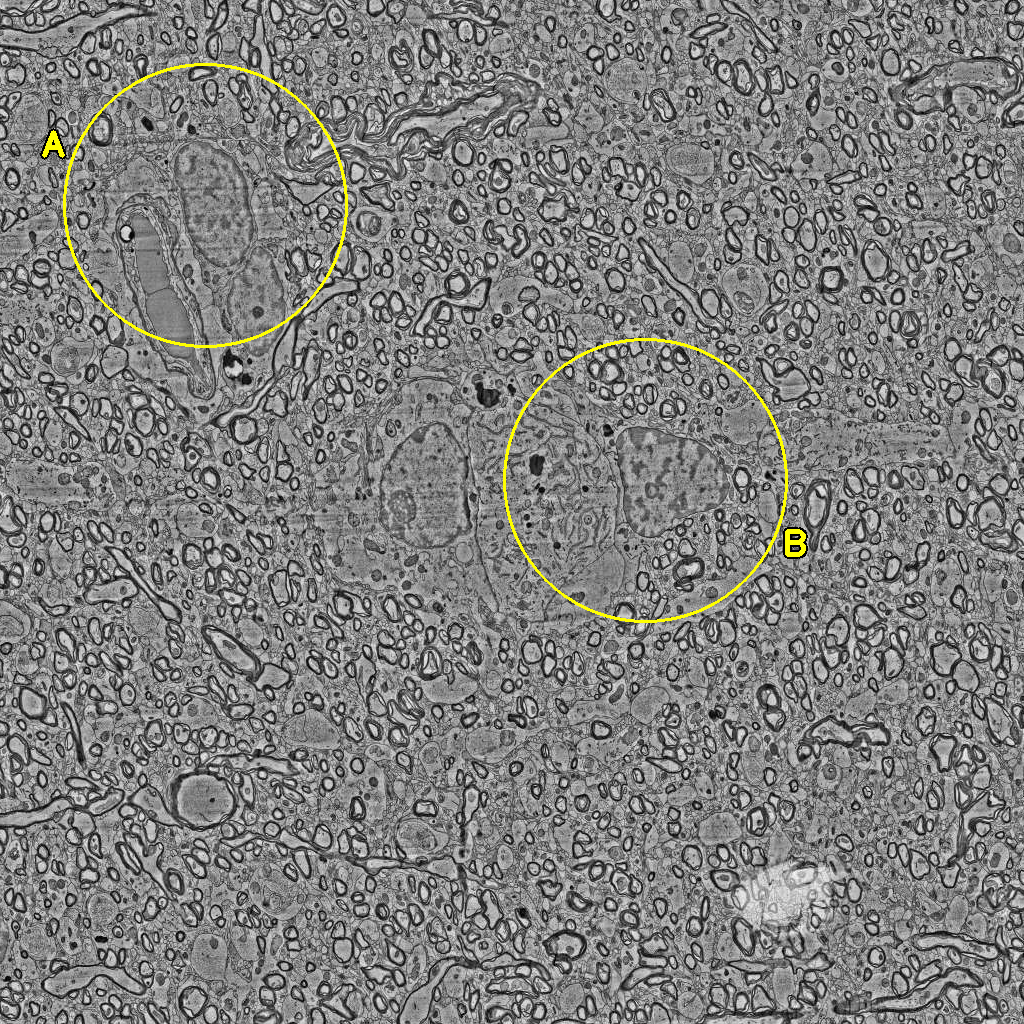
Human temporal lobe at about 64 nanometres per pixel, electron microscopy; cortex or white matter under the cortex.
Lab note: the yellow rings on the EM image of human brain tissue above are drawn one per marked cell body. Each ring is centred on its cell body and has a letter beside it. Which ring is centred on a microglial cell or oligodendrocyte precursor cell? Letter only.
B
